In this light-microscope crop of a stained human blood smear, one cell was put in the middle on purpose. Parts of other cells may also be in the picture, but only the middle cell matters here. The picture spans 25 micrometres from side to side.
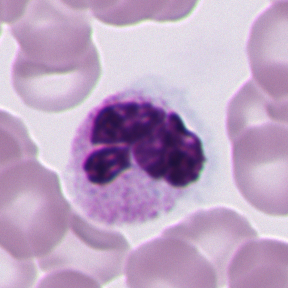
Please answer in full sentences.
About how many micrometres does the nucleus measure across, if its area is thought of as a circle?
The nucleus is about 8 micrometres across.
